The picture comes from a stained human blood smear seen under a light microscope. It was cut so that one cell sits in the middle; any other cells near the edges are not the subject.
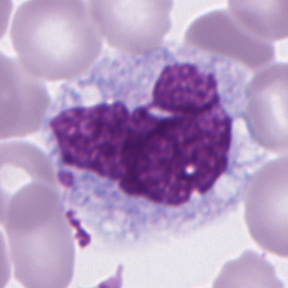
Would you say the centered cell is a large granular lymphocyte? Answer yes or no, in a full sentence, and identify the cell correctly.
No, it is not a large granular lymphocyte that lies in the middle but a monocyte.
